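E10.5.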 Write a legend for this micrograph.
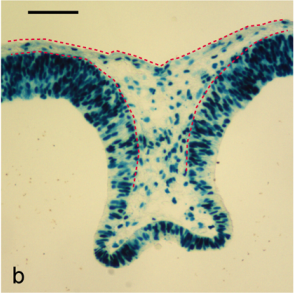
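This is the dorsal midline of the embryonic forebrain, where the walls of the two hemispheres meet, with mesenchymal cells filling the interhemispheric space between them. The neuroepithelial walls are thick, densely packed and strongly blue, their elongated nuclei stacked across the layer, while the midline space holds loose tissue with scattered blue-stained cells lying singly among paler ones. A thin surface layer closes the space above.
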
